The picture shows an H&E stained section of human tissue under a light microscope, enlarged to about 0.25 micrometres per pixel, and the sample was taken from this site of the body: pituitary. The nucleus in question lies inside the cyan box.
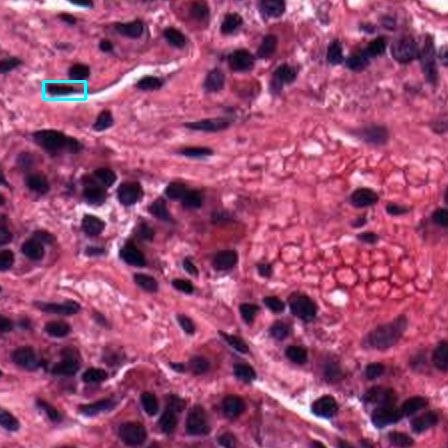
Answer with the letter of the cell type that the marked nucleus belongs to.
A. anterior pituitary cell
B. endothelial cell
B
